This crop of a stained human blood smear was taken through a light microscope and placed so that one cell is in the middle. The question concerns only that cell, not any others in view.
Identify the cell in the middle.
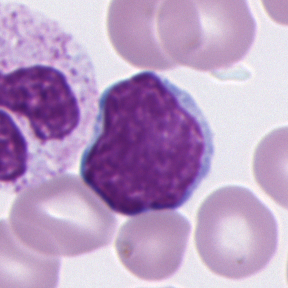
typical lymphocyte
